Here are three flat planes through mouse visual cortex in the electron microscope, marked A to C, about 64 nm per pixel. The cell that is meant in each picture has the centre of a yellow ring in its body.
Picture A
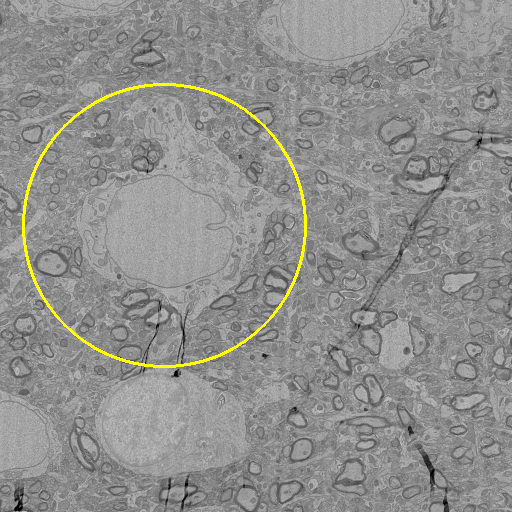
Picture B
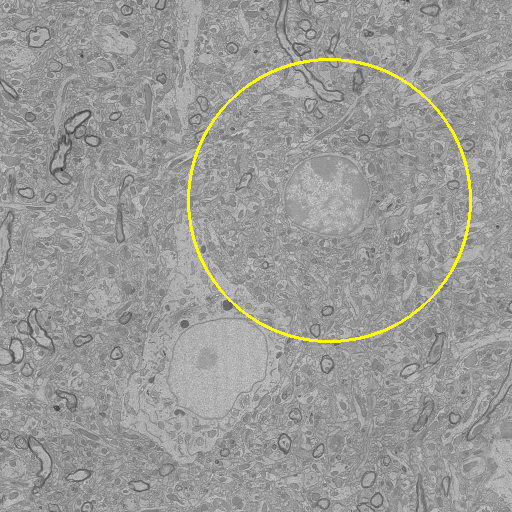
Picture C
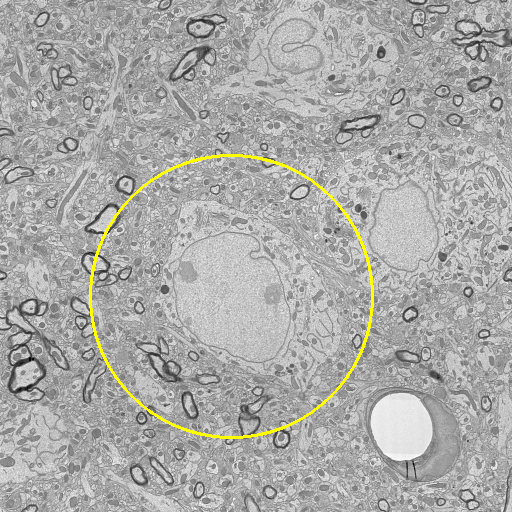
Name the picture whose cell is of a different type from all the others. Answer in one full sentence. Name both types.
Picture B is the odd one out: it shows an oligodendrocyte, while the others show excitatory neurons.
